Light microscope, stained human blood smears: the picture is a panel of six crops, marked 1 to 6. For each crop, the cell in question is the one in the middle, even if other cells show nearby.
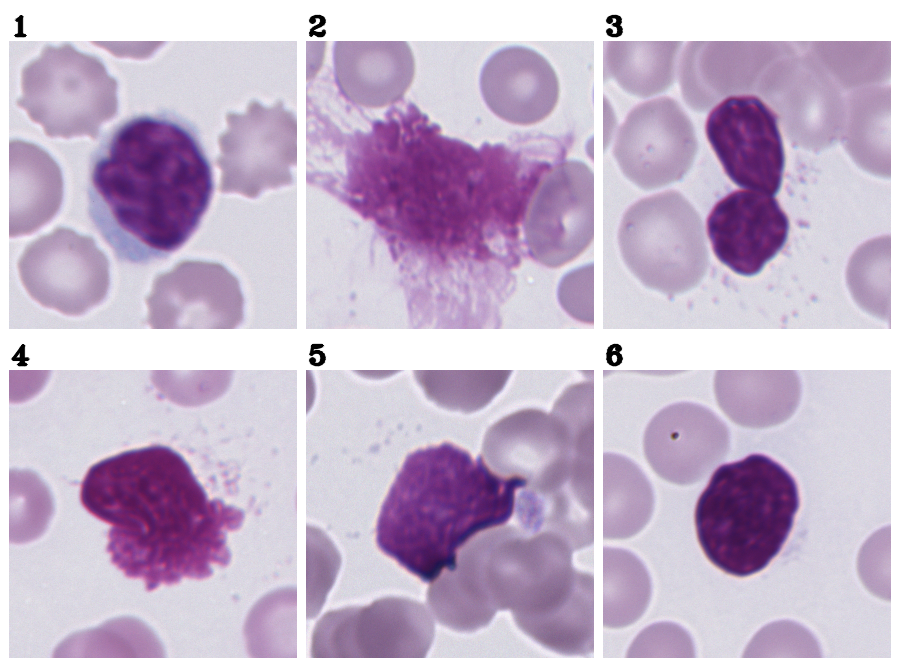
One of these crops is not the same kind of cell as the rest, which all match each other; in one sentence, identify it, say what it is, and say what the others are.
Crop 1 is not like the others: it is a hairy cell, and they are smudge cells.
